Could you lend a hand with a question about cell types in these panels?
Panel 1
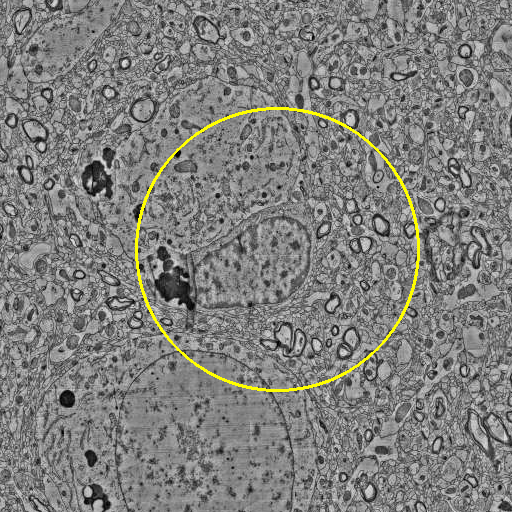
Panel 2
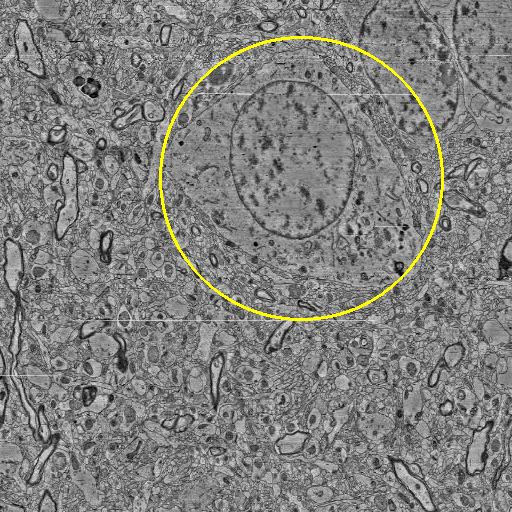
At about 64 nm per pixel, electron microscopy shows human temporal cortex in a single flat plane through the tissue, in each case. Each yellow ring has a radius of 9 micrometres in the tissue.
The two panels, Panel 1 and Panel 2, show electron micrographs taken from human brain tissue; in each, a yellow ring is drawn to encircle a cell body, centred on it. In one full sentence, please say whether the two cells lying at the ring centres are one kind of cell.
No, the cells at the ring centres in the two panels are two kinds of cell.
